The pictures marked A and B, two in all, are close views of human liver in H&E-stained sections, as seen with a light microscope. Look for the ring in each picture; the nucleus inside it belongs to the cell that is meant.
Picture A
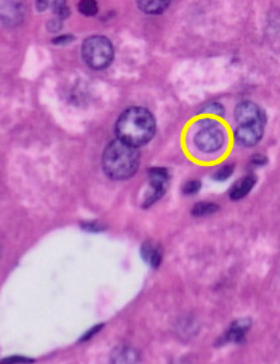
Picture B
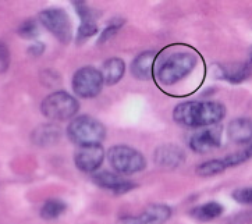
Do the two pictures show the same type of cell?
yes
